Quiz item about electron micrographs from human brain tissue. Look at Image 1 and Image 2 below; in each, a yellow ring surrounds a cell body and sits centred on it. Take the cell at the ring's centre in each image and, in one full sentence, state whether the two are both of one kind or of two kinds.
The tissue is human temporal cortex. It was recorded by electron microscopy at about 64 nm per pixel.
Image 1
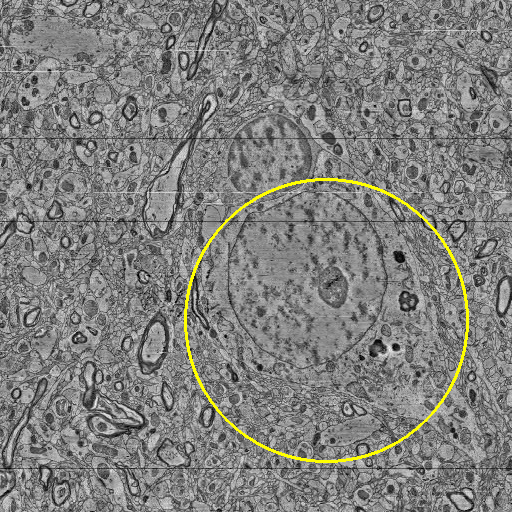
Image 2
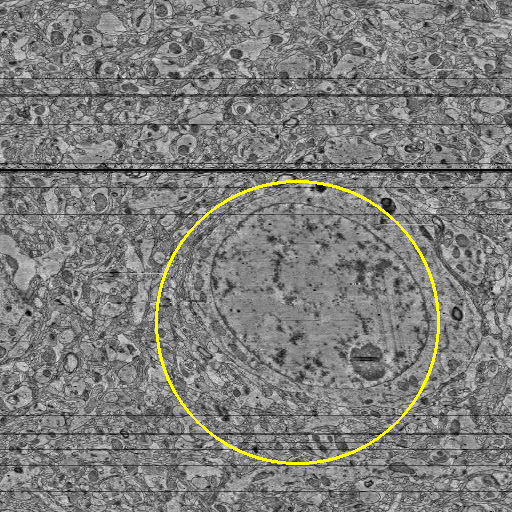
In Image 1 and Image 2, the cells at the ring centres are both of one kind.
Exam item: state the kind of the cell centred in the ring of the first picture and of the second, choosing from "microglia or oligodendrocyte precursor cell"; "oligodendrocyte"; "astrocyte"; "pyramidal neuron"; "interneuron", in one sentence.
Each cell, in the first picture and the second, is a pyramidal neuron.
